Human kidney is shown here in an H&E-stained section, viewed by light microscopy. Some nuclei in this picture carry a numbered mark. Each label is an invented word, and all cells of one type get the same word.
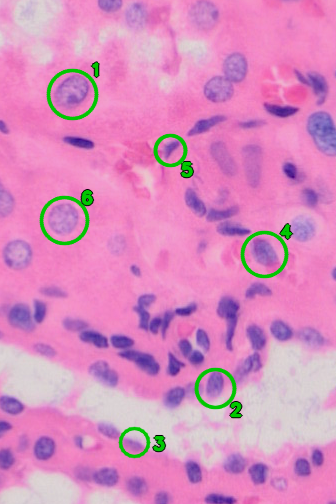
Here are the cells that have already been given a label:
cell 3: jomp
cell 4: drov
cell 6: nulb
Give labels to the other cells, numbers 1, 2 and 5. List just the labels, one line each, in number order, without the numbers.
nulb
jomp
drov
